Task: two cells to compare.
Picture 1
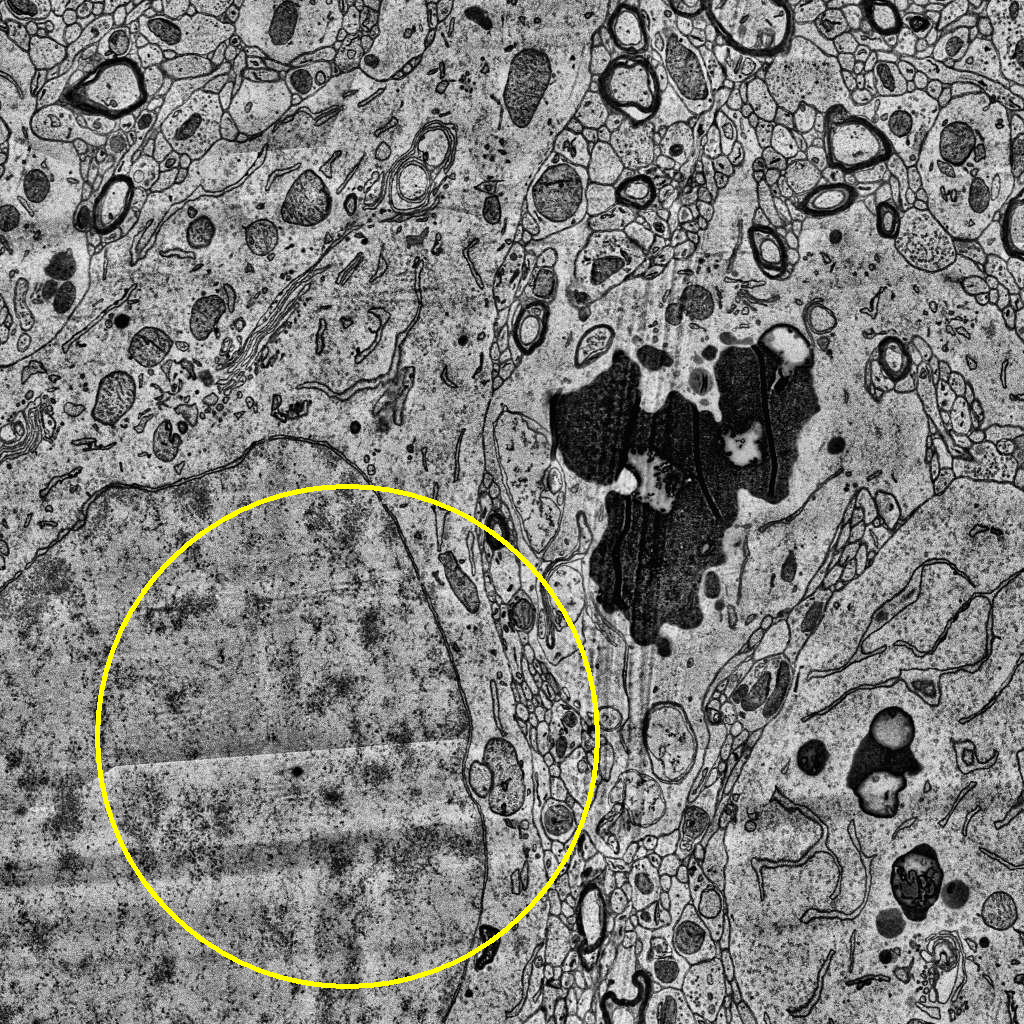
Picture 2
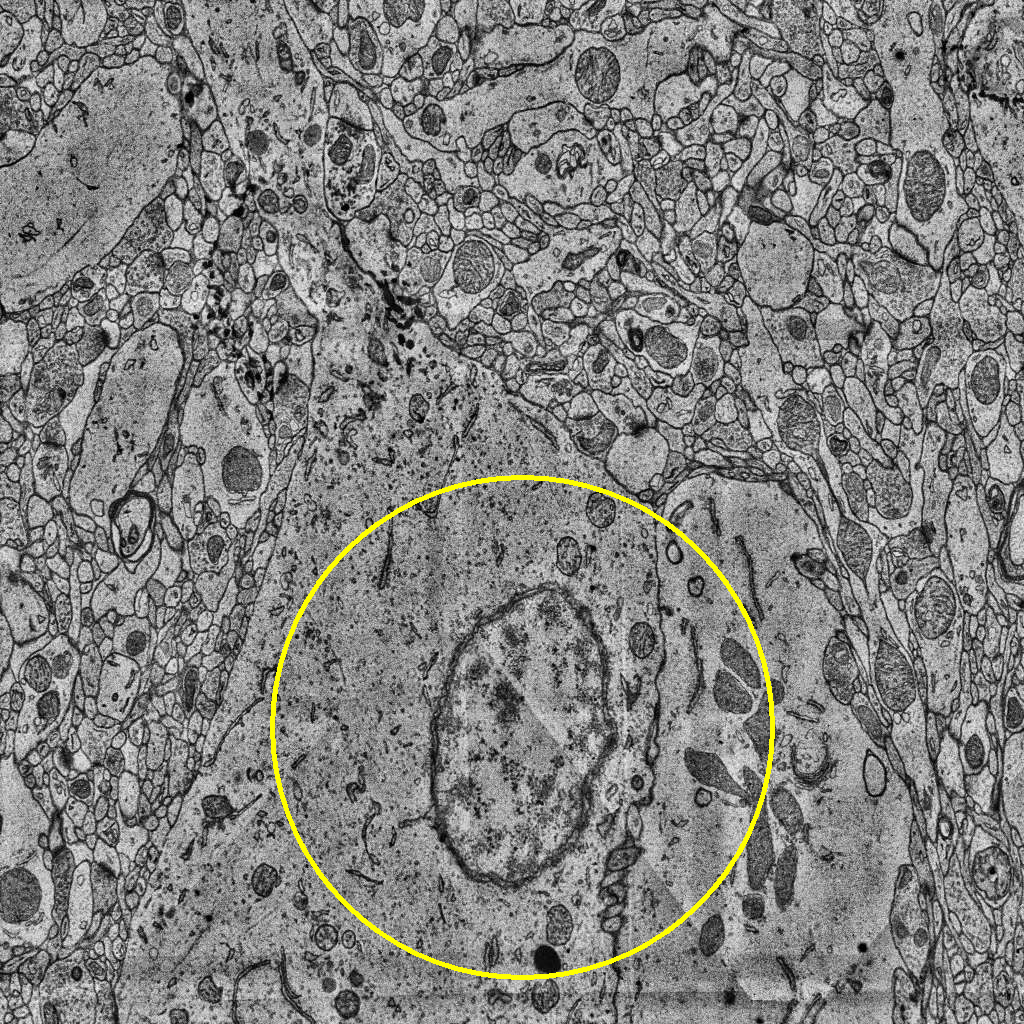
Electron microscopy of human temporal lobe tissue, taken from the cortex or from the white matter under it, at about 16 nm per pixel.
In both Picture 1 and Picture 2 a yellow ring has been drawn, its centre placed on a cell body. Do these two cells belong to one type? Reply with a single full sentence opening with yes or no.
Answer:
Yes, the two cells at the ring centres in Picture 1 and Picture 2 share one type.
